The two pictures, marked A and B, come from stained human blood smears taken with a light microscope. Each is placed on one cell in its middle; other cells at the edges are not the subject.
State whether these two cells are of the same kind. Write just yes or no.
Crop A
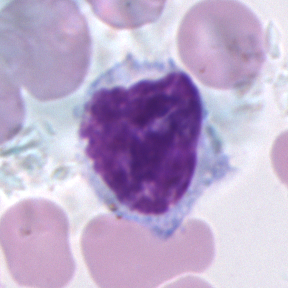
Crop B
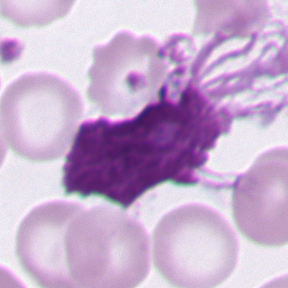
no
